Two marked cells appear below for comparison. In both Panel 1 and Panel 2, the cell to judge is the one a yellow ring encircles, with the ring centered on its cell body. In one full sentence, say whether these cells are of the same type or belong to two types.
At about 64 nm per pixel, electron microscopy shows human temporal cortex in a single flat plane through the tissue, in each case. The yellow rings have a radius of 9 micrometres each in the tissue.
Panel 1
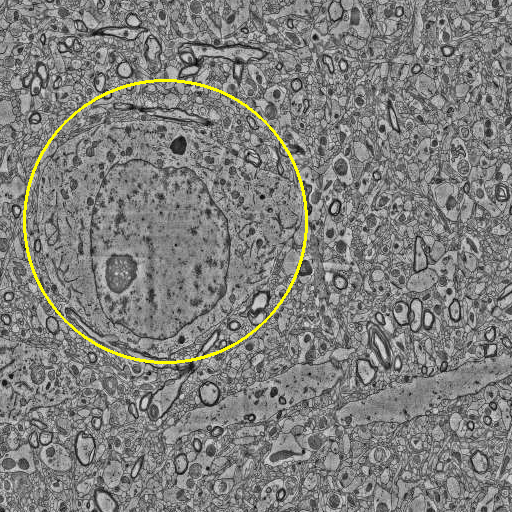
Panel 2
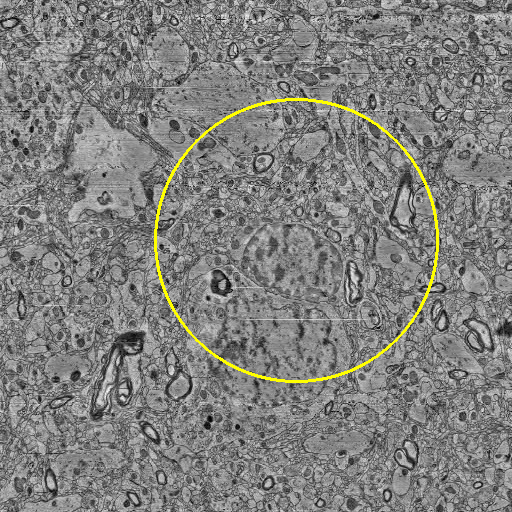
The cell centered in the Panel 1 ring and the one in Panel 2 belong to two types.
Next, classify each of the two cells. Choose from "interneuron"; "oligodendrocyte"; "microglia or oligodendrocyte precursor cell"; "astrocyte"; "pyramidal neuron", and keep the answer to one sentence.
In the first picture it is a pyramidal neuron; in the second it is an oligodendrocyte.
